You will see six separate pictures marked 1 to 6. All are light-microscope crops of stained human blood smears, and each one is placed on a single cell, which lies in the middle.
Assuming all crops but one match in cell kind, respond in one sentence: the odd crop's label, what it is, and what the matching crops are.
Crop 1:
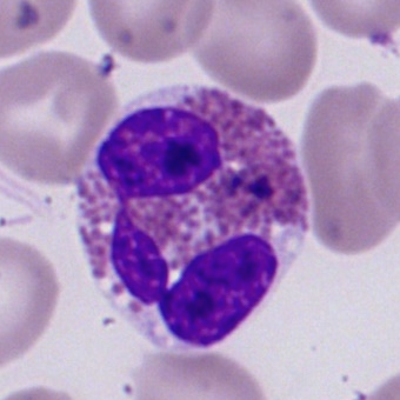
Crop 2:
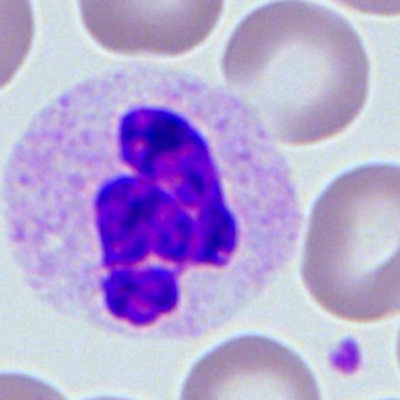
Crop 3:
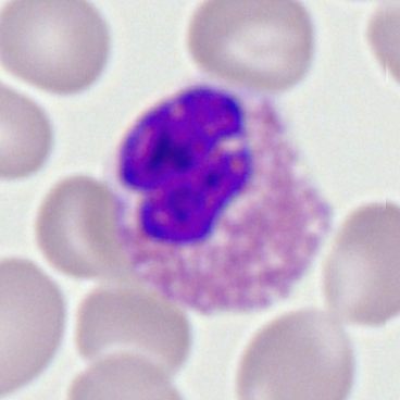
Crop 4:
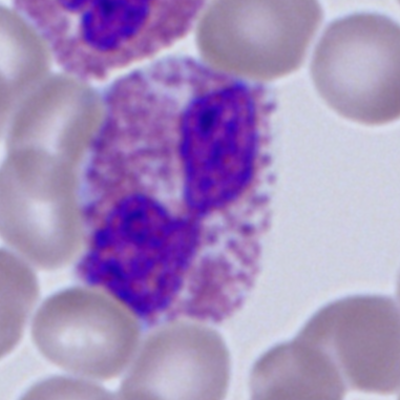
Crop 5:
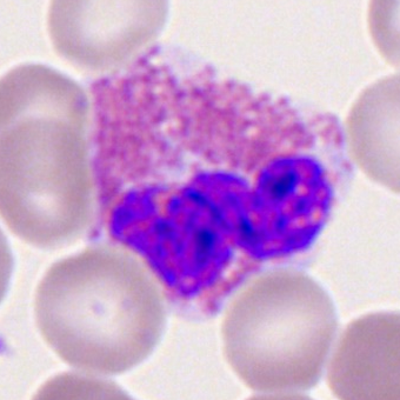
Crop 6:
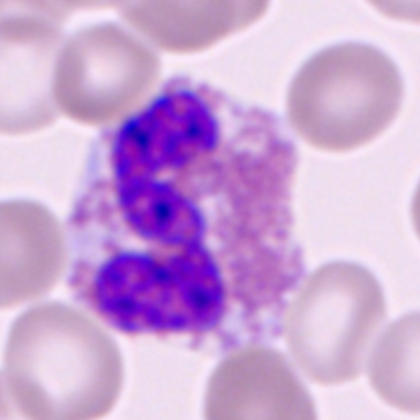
The remaining crops are all eosinophils, so crop 2, being a neutrophil, is the exception.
